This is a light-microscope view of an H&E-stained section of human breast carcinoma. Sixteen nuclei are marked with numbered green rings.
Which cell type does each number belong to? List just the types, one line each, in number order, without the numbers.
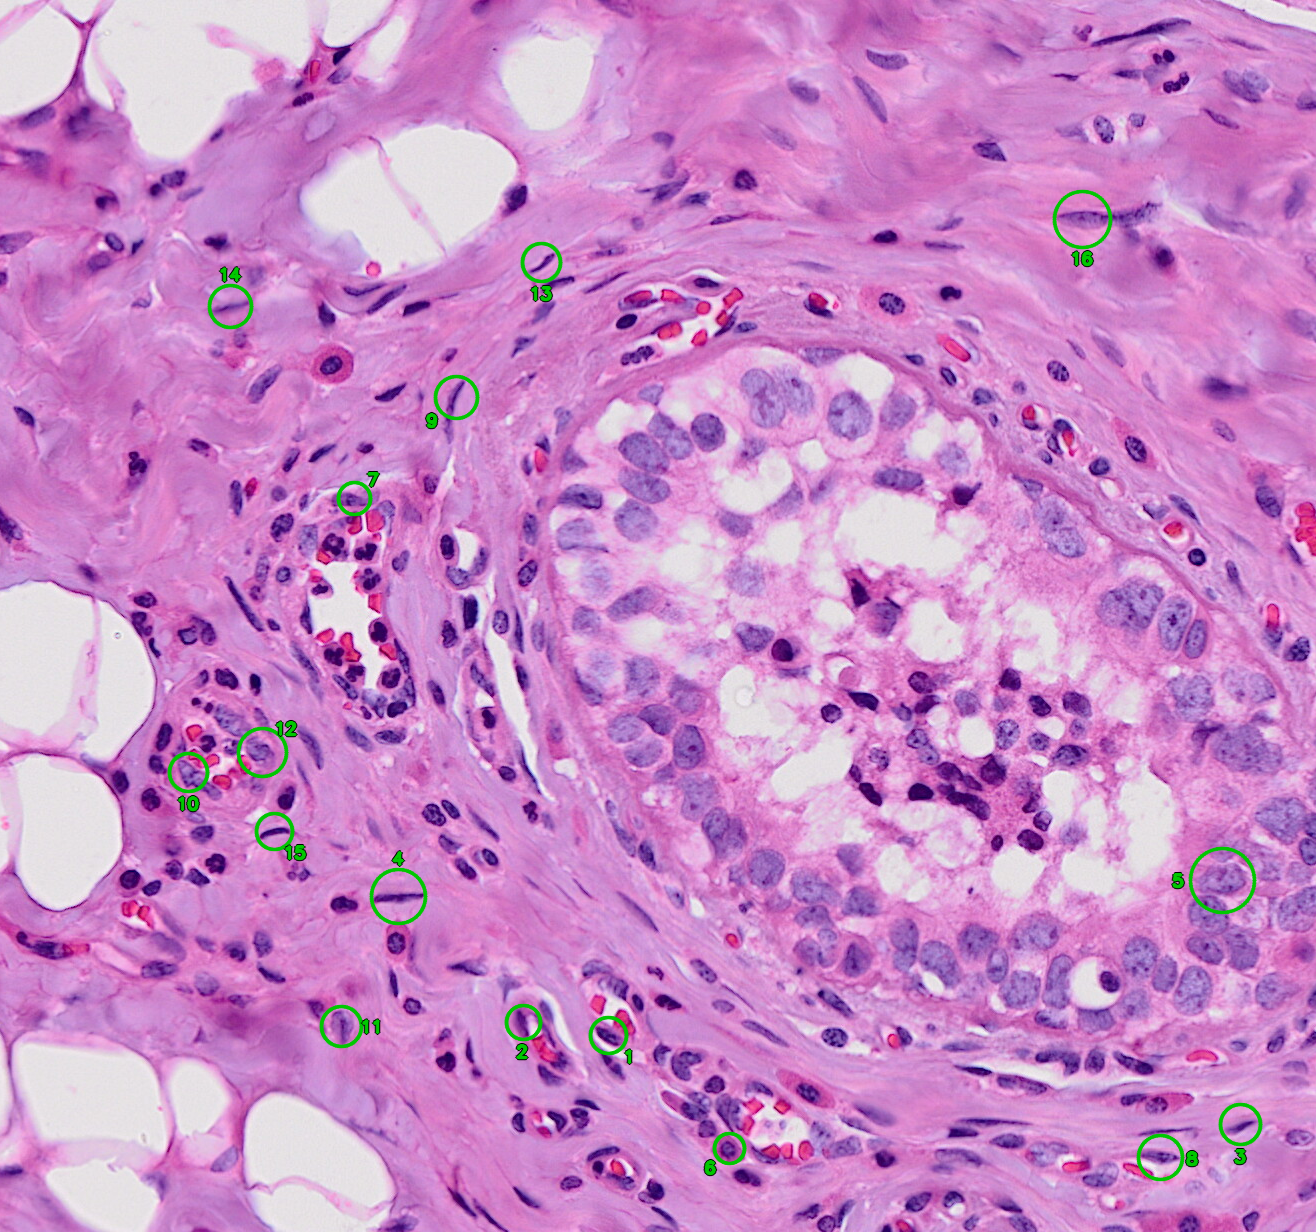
endothelial cell
endothelial cell
fibroblast
fibroblast
carcinoma cell
mast cell
endothelial cell
endothelial cell
fibroblast
endothelial cell
fibroblast
endothelial cell
fibroblast
fibroblast
fibroblast
fibroblast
